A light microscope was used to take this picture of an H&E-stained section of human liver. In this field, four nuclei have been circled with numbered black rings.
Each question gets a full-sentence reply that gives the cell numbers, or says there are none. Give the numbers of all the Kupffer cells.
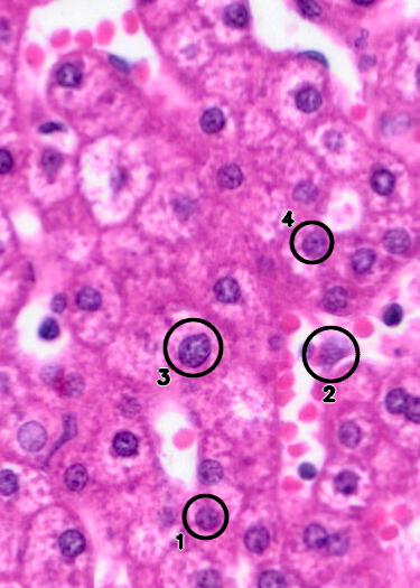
Cell 2 stands alone among the numbered cells as a Kupffer cell.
